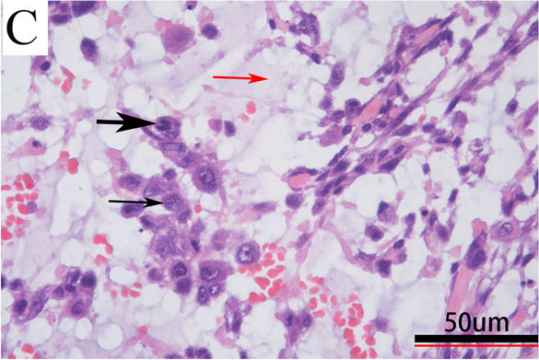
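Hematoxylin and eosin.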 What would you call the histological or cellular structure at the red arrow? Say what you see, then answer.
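The arrow points to a pale, loose, faintly bluish-pink background. The background is wispy and contains few cells.
Hence: myxoid matrix.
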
